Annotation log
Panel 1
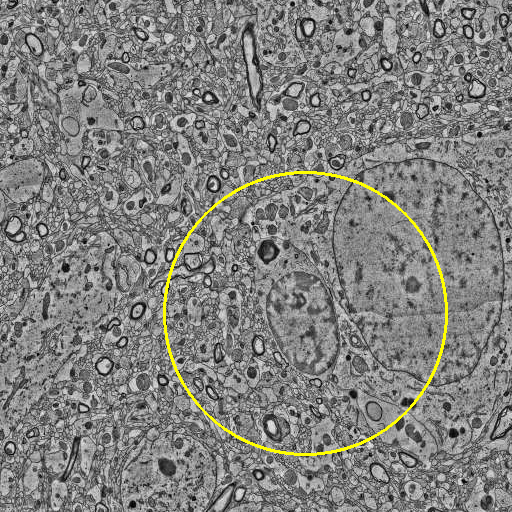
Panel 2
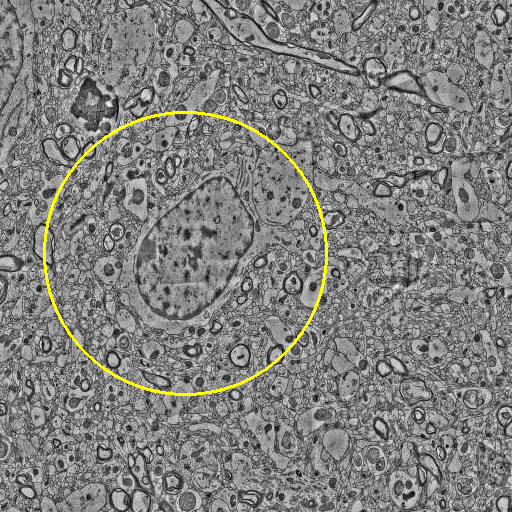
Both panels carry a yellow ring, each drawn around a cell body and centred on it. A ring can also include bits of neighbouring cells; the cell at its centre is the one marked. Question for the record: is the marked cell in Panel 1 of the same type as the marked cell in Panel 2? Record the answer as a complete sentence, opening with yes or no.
No, the marked cells in Panel 1 and Panel 2 are of two types.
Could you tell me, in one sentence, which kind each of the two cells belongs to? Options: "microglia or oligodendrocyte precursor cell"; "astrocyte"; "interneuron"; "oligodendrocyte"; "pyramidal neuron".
At the centre of the first ring sits an oligodendrocyte, and at the centre of the second sits a microglial cell or oligodendrocyte precursor cell.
